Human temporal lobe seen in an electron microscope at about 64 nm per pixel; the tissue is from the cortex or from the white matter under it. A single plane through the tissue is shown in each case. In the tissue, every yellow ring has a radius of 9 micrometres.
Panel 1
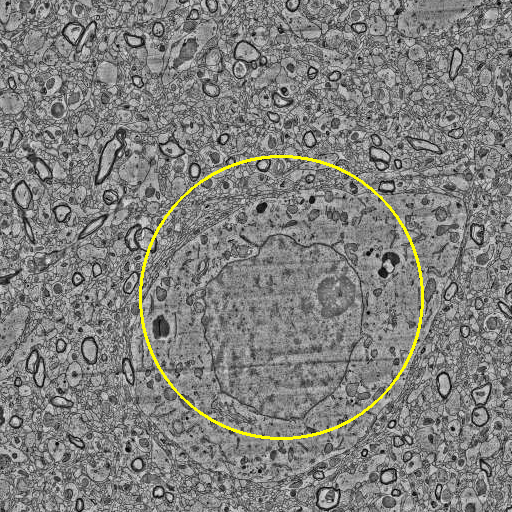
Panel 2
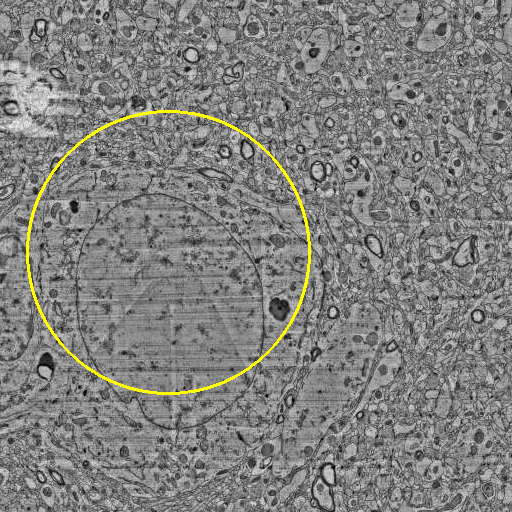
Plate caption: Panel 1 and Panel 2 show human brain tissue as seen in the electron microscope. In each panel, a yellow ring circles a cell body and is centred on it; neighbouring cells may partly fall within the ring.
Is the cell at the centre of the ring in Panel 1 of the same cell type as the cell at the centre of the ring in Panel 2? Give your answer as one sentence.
Yes, the two cells are of the same type.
